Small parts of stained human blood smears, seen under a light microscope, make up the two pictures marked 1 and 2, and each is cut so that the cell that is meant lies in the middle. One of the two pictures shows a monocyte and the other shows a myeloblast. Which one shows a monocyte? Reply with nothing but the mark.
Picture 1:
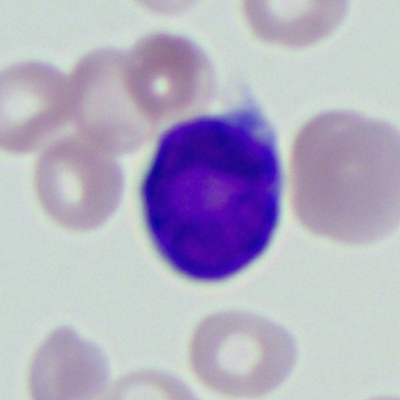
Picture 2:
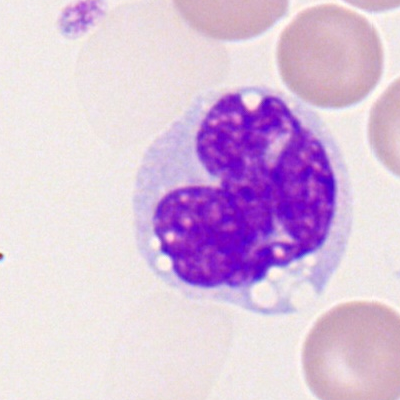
2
